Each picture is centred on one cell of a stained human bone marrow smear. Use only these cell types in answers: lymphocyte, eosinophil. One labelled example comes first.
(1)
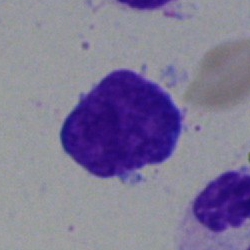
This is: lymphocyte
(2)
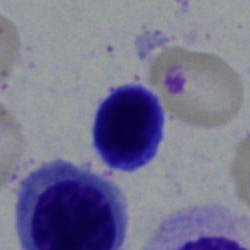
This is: lymphocyte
